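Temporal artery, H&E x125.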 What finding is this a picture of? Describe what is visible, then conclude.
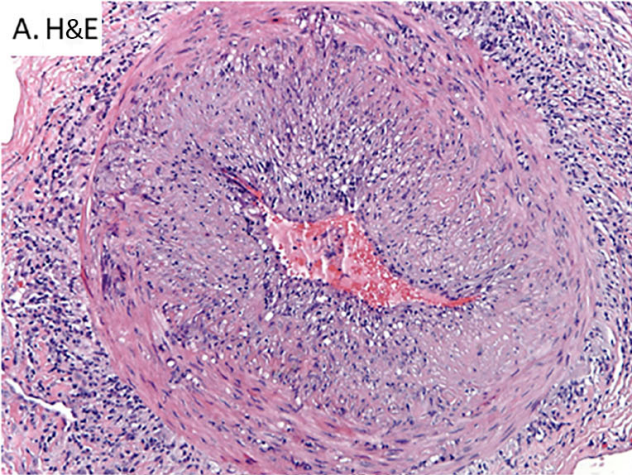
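A thick cellular inner layer fills most of the vessel's cross-section. The lumen is reduced to a narrow slit containing red blood cells.
Answer: intimal proliferation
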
